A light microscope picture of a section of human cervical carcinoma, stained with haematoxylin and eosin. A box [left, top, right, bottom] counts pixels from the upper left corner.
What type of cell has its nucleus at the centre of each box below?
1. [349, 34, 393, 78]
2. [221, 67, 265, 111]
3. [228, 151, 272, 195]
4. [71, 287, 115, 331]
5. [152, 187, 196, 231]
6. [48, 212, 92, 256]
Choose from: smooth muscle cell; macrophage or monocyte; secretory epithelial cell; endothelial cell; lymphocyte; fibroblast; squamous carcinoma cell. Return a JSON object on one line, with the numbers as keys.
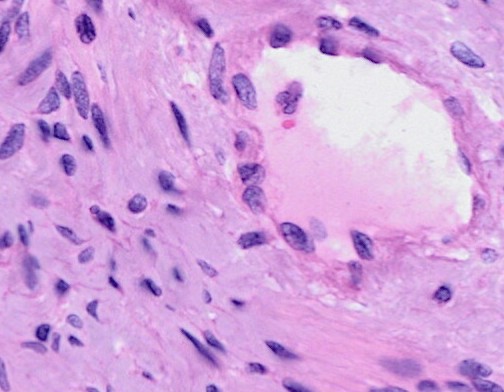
{"1": "endothelial cell", "2": "endothelial cell", "3": "endothelial cell", "4": "fibroblast", "5": "fibroblast", "6": "fibroblast"}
